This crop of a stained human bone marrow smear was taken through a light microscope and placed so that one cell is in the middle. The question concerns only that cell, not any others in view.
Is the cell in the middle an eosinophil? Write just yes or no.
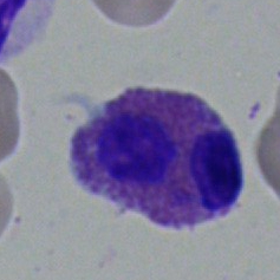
yes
